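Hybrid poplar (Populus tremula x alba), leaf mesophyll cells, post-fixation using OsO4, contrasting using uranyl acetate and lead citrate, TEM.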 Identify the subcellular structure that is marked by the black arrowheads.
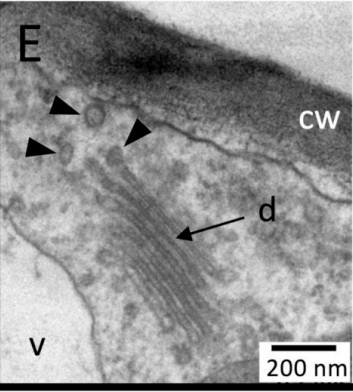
Vesicles.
